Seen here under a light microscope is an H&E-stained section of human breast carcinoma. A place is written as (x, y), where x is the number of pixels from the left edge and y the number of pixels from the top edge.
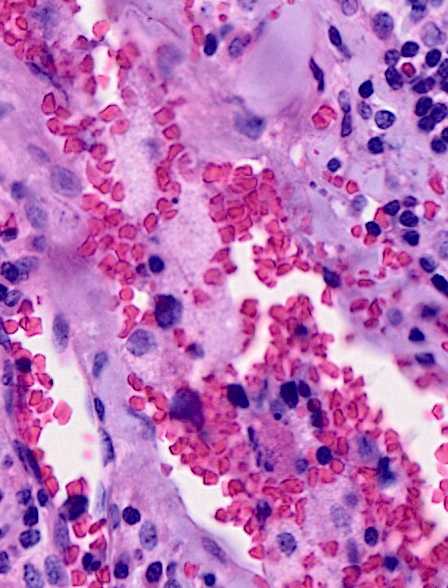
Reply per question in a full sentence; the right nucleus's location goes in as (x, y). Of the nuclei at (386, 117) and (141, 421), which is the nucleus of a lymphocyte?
The pair contains one nucleus of a lymphocyte, namely the one at (386, 117).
